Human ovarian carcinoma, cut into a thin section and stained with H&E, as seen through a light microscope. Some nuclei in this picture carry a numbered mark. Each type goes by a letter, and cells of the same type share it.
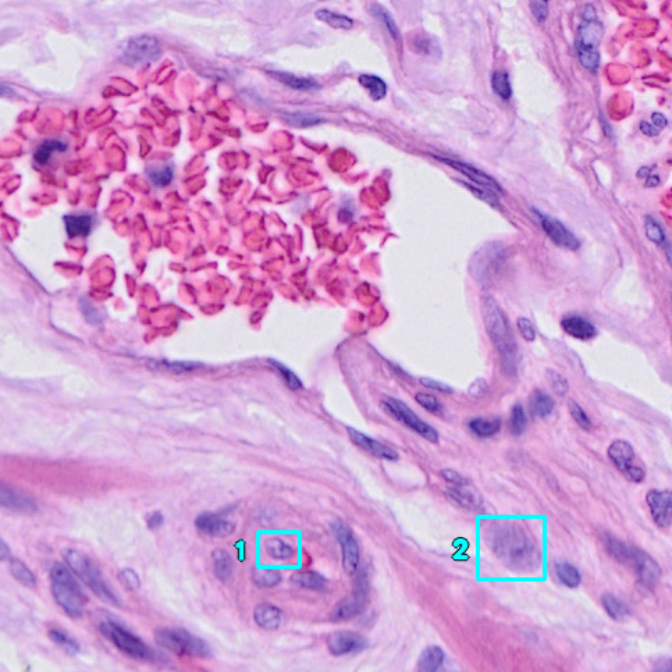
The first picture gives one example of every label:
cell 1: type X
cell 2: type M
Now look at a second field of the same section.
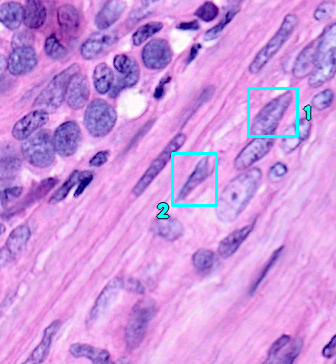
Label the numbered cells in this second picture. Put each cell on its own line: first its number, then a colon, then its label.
1: type X
2: type M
